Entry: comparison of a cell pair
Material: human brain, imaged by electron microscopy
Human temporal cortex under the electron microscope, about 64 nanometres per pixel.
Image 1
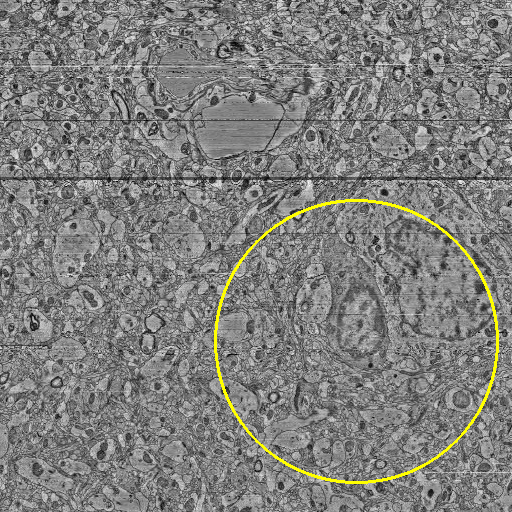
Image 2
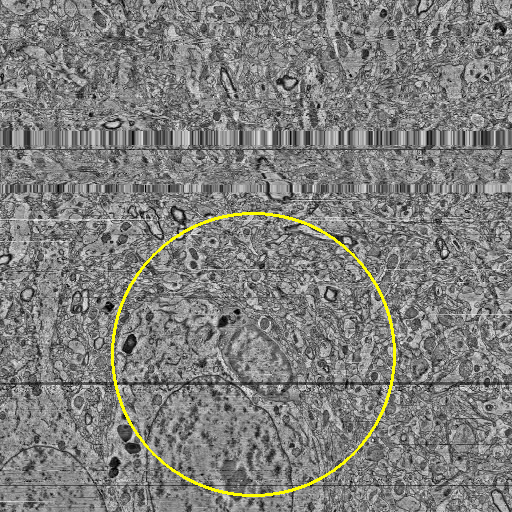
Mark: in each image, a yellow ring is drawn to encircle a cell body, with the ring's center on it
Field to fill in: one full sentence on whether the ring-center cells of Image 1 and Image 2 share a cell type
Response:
Yes, Image 1 and Image 2 each show a ring-center cell of one shared type.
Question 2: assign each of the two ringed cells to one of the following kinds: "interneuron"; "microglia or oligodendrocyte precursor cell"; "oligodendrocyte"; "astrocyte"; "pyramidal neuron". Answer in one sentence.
The second cell is an oligodendrocyte, just as the first is.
